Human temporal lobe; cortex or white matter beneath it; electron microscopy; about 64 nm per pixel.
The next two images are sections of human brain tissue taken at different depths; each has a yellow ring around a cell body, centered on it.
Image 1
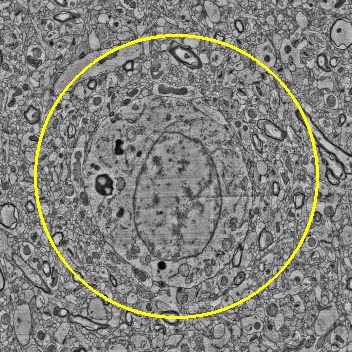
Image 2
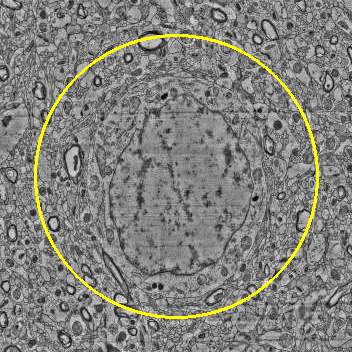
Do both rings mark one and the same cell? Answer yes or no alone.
yes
